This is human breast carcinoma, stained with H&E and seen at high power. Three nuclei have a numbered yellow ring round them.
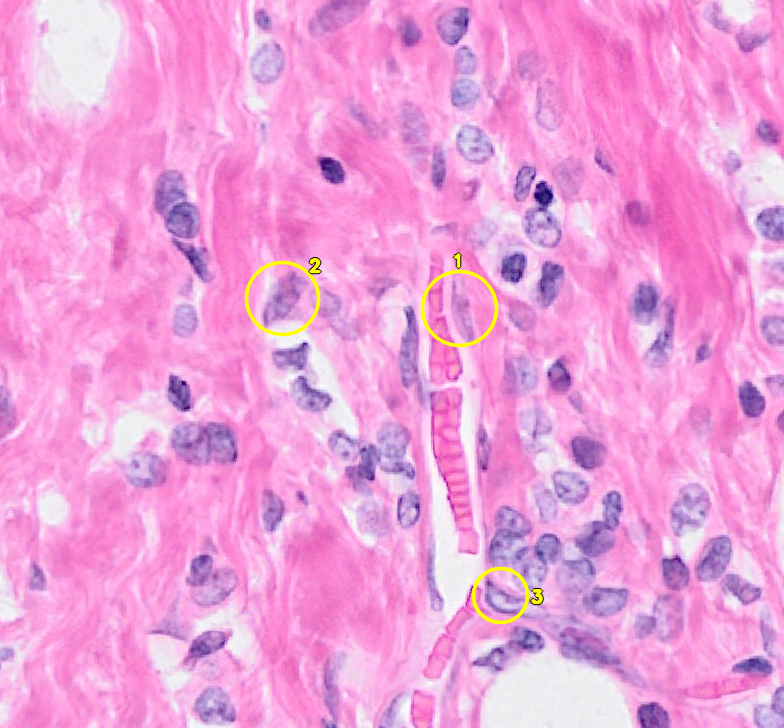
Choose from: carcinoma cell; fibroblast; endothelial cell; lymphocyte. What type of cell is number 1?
endothelial cell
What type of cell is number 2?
fibroblast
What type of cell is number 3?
endothelial cell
